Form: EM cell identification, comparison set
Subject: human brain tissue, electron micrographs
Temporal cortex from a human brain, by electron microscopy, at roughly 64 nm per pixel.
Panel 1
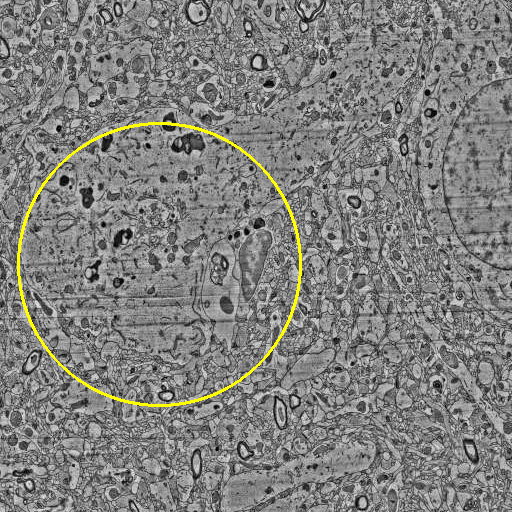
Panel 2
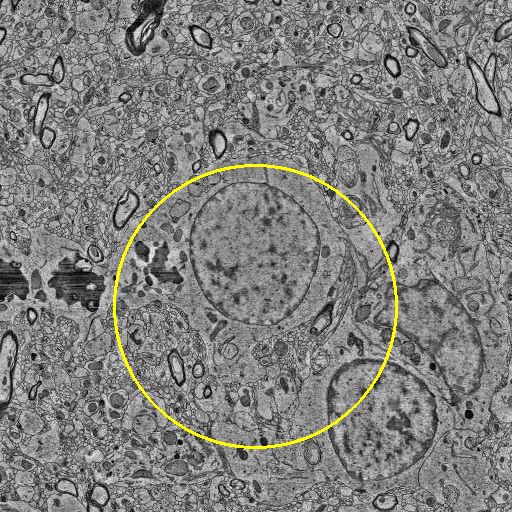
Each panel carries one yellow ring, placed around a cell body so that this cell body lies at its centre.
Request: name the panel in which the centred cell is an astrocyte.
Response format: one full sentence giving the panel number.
Panel 2 has it at the centre of its ring.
